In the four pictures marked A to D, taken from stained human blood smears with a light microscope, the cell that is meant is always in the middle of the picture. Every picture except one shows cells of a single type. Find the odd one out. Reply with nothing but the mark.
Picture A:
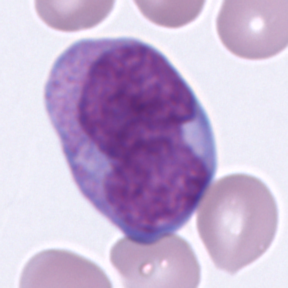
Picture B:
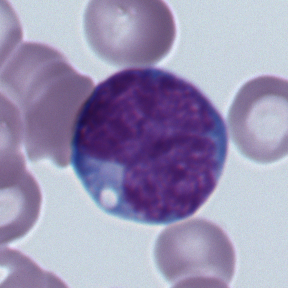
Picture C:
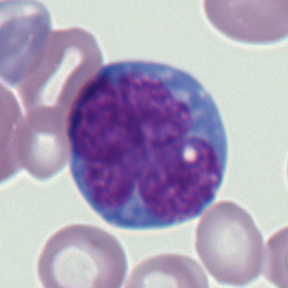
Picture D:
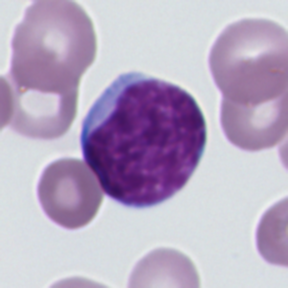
A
